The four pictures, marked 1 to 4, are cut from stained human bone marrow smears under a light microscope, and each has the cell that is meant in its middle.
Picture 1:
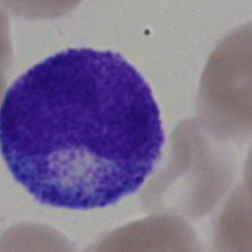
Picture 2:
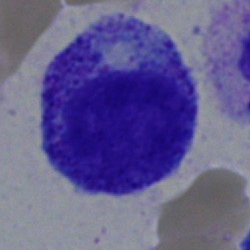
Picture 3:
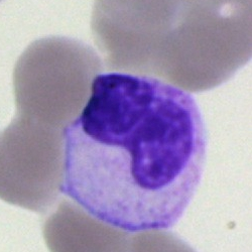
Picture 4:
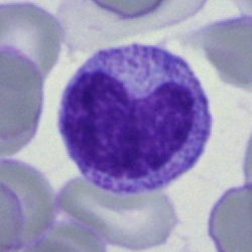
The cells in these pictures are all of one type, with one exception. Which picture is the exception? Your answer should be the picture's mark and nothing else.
2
